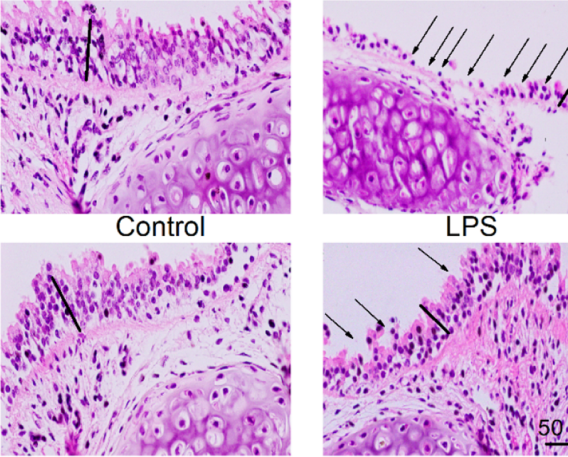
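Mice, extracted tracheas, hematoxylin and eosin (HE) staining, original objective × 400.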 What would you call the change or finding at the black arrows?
Abnormal ciliated columnar epithelia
